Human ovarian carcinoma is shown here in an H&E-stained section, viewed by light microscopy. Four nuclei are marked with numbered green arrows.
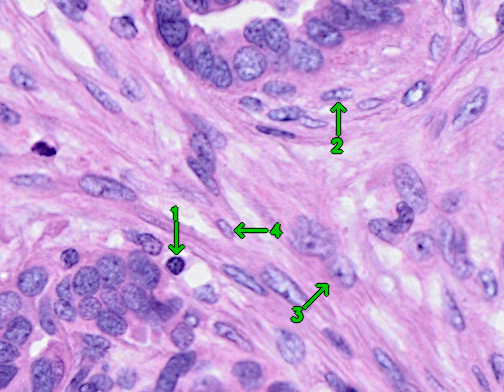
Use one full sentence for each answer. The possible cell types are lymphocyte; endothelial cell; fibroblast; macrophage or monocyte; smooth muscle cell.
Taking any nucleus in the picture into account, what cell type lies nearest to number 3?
The nearest nucleus to number 3 belongs to a fibroblast.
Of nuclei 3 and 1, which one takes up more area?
The larger nucleus is 3, at roughly 2.5 times the area of 1.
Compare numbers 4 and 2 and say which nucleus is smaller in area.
The smaller nucleus is 4, and 2 covers roughly 1.5 times its area.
